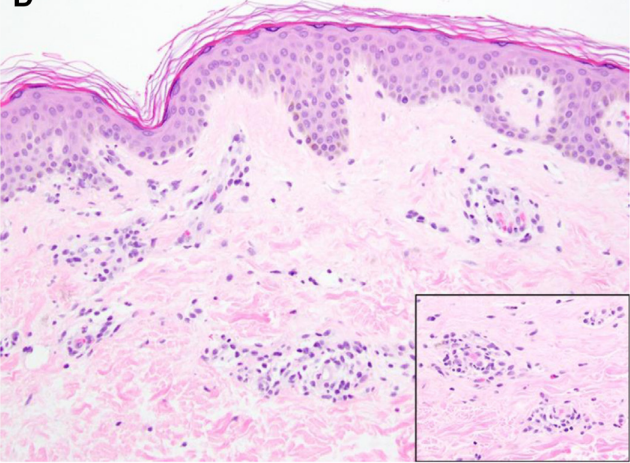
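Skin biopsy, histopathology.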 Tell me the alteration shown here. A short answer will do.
perivascular lymphocytic infiltrate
